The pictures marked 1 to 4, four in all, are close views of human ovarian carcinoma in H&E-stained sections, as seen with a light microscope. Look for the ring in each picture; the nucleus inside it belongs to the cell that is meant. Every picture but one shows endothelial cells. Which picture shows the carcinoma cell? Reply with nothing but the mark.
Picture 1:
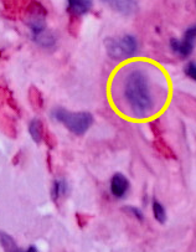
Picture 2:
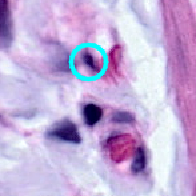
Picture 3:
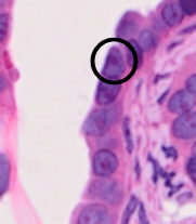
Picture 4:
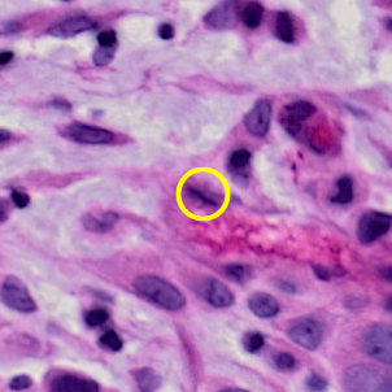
3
